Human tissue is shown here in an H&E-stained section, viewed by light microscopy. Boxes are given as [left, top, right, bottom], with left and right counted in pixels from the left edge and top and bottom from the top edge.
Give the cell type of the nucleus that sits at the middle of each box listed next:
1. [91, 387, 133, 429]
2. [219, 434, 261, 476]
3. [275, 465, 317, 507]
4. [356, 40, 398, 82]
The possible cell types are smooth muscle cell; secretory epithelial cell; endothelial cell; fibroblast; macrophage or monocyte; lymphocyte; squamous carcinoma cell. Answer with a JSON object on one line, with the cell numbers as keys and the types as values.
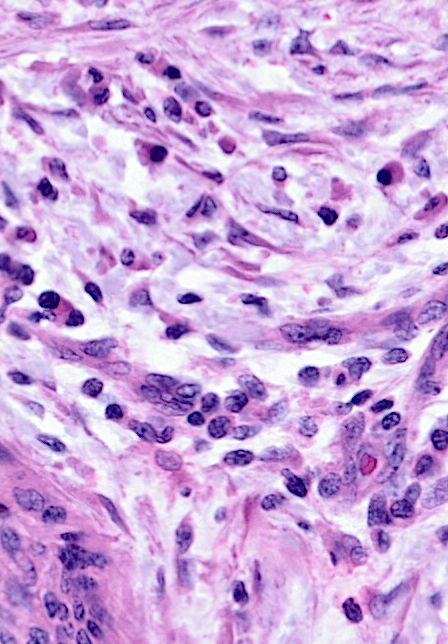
{"1": "lymphocyte", "2": "lymphocyte", "3": "lymphocyte", "4": "fibroblast"}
